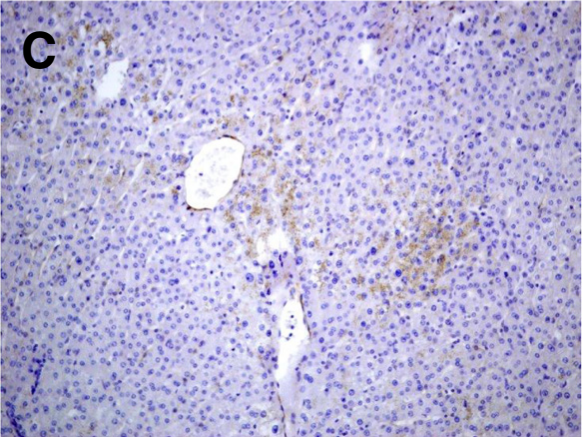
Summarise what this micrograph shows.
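Hepatocytes form sheets of polygonal cells with round purple nuclei and pale cytoplasm. Several vessels with open lumens cross the field, one rounded lumen near the centre and a narrower channel running downwards below it. The brown granular stain gathers around and between these vessels and in a patch to the right of them, as well as faintly at the upper left, while most of the surrounding parenchyma is free of it.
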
